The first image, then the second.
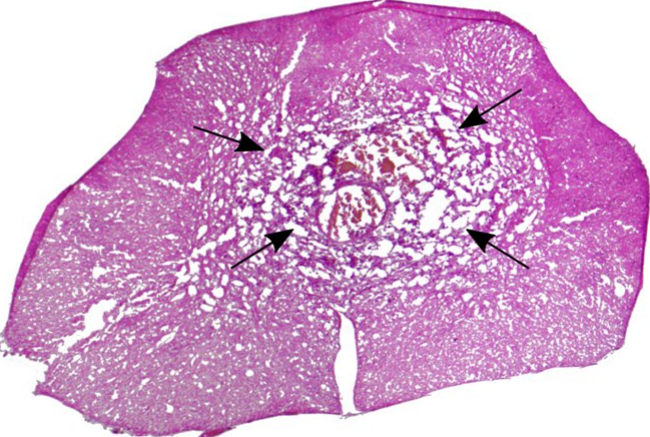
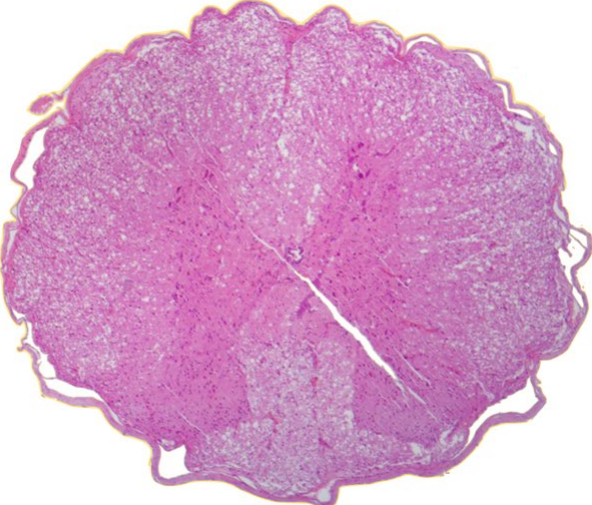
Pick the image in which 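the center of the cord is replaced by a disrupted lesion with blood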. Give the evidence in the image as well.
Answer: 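The first image. First image: a large central area is loose and full of holes, with red-brown blood at its core.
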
